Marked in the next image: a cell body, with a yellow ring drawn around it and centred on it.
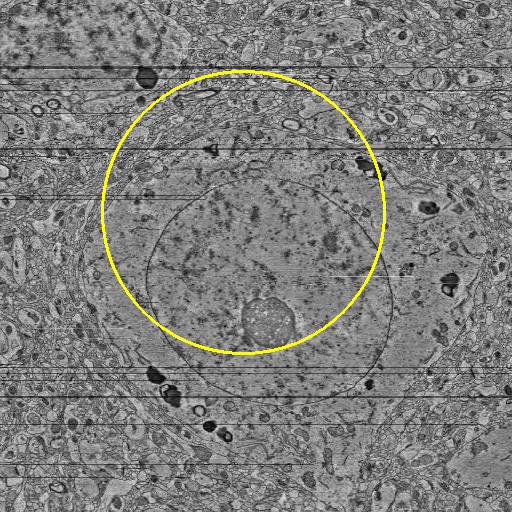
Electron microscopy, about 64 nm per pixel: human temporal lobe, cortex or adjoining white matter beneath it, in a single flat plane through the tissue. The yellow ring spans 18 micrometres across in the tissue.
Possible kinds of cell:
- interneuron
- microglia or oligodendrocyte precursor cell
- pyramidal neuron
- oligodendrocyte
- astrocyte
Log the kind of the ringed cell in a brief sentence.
The ringed cell body is that of a pyramidal neuron.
